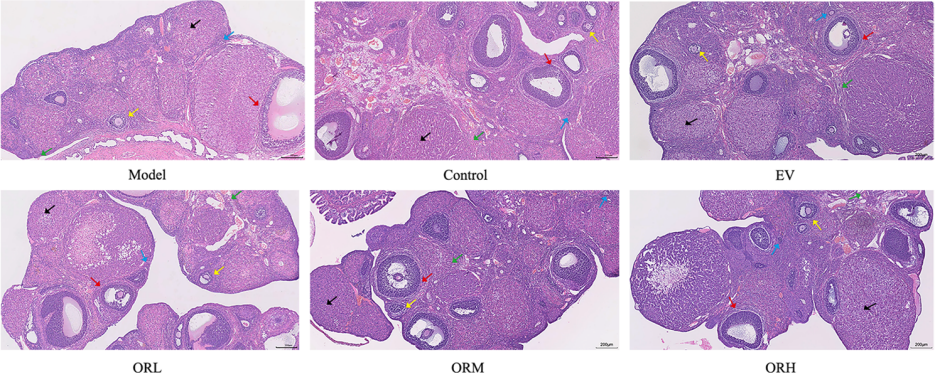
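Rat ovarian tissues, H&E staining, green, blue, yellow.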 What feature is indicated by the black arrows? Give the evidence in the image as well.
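The black arrows point to large, round, solid masses of pink-staining cells. These masses have no central cavity and no oocyte.
Conclusion: corpus luteum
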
